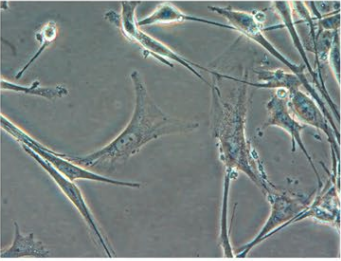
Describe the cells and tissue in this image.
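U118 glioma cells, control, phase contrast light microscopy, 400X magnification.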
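Long, slender processes extend in several directions, some reaching across the field to touch other cells. Bright halos outline the cell edges, and much of the background between the cells is empty.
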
